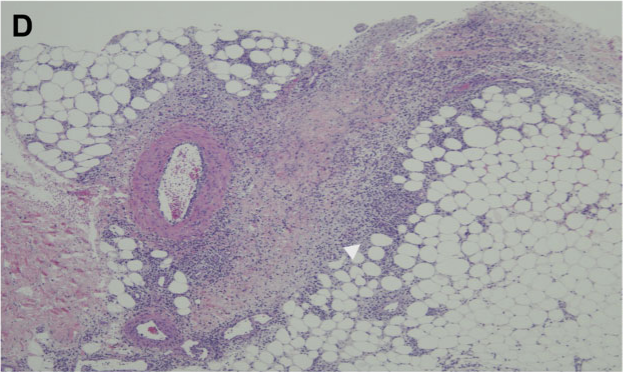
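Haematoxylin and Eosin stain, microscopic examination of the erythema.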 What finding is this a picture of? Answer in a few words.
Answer: septal panniculitis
